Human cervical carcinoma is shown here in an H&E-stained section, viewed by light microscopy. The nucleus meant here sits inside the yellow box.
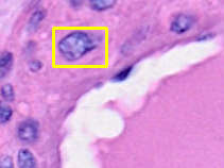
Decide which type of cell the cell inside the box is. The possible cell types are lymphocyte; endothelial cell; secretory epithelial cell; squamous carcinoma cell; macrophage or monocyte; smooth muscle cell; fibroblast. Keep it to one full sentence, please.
Placed in its cell category, the cell inside the box is a smooth muscle cell.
